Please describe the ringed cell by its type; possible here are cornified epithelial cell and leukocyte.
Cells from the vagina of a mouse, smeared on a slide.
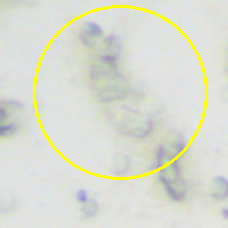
The yellow ring marks a cornified epithelial cell.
